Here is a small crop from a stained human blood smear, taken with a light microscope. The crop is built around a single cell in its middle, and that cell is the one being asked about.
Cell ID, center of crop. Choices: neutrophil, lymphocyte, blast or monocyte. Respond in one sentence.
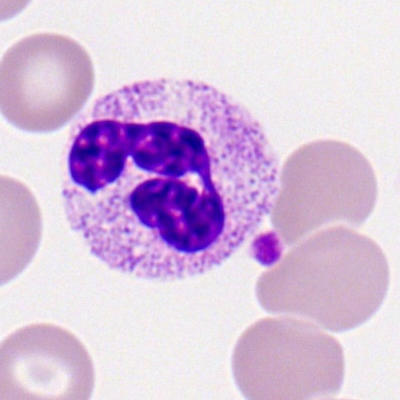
The central cell, amid any neighbouring cells, is a neutrophil.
